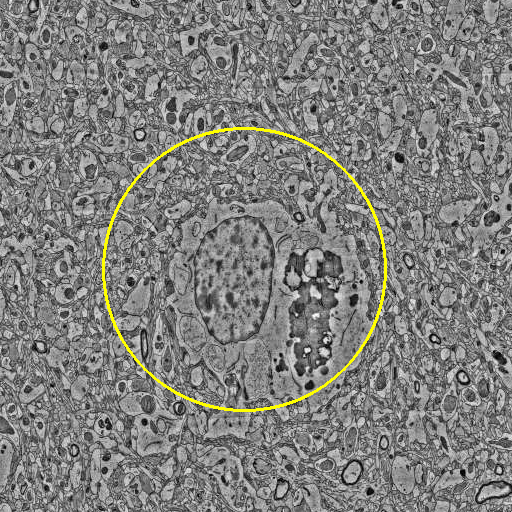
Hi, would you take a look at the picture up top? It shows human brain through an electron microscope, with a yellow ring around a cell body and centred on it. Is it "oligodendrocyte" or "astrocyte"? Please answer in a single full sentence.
The best fit for the cell in the middle of the ring is an astrocyte, I reckon.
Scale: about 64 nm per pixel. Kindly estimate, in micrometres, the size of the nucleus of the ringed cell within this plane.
Roughly 8 by 5 micrometers, clearly longer than it is wide in this plane.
